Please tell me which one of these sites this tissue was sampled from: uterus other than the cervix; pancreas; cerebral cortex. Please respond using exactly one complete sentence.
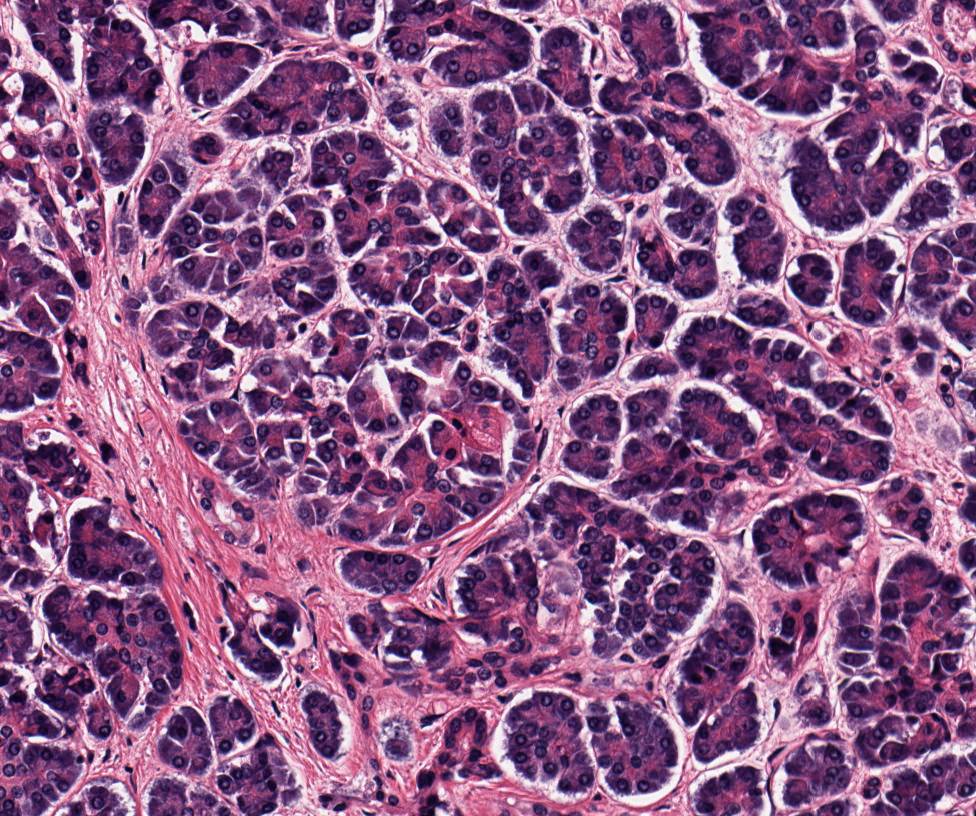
From the pancreas came the tissue in this section.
